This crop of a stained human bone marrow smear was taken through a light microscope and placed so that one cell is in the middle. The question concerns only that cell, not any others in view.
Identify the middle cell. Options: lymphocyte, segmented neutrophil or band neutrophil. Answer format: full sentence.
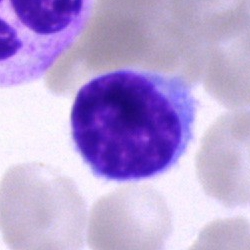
The crop shows a lymphocyte in its centre.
